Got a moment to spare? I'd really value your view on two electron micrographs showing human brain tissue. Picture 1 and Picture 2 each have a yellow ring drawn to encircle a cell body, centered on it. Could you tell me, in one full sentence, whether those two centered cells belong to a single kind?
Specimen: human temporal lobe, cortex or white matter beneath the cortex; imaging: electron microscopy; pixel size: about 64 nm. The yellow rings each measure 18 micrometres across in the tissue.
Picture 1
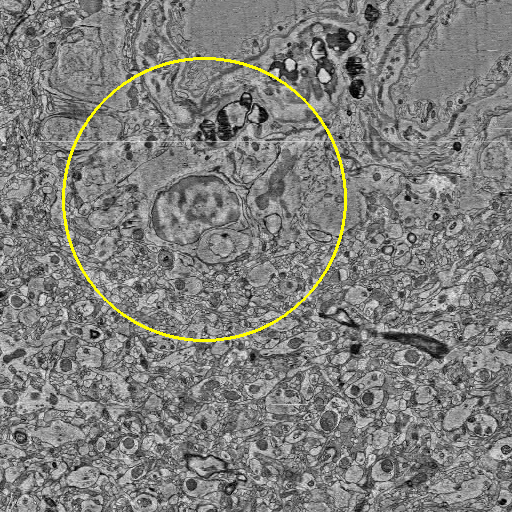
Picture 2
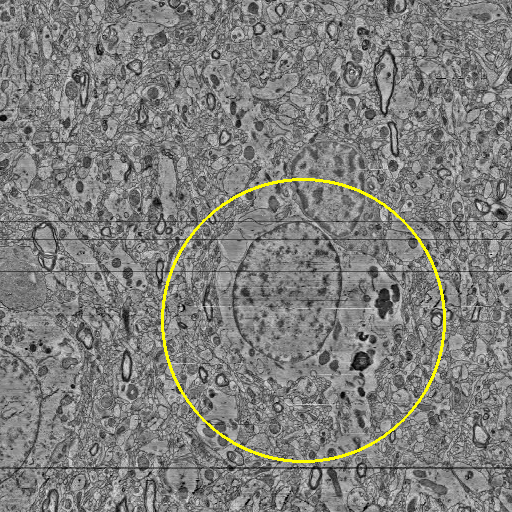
No, the two centered cells in Picture 1 and Picture 2 are of two kinds.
